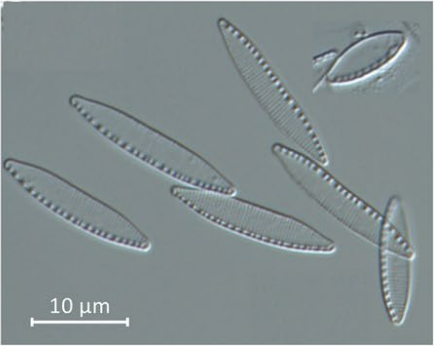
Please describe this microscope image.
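These are empty, transparent silica diatom valves with no cell contents, each long and narrow and tapering to pointed ends in a lanceolate outline. Fine parallel lines run across each valve, the striae. Along one edge of each valve runs a row of distinct beads, the fibulae.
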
